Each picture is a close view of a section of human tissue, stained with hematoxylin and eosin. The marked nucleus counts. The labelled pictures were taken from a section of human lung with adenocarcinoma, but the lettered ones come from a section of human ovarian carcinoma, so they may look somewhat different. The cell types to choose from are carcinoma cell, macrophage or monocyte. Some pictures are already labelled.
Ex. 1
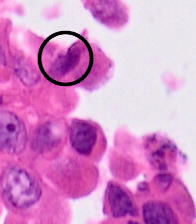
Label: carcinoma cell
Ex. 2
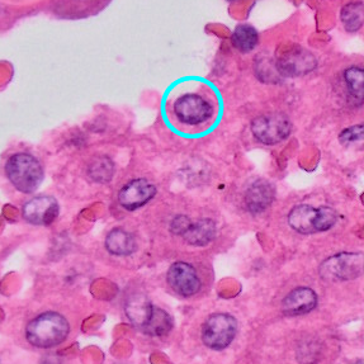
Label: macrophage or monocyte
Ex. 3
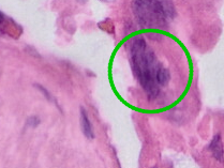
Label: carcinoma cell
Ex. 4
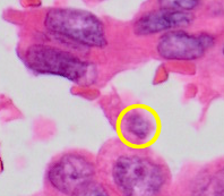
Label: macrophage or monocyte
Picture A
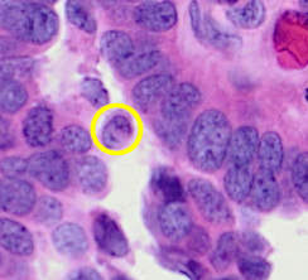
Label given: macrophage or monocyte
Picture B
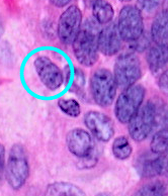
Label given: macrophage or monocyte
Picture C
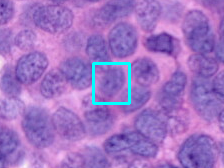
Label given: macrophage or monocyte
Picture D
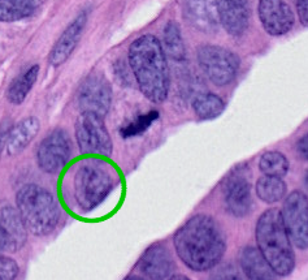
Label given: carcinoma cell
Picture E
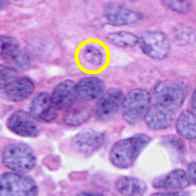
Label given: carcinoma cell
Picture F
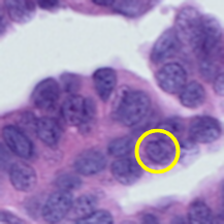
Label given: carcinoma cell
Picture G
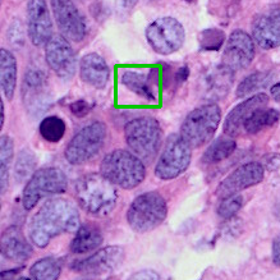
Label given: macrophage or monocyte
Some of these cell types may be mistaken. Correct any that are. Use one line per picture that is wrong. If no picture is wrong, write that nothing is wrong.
C: change macrophage or monocyte to carcinoma cell
E: change carcinoma cell to macrophage or monocyte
